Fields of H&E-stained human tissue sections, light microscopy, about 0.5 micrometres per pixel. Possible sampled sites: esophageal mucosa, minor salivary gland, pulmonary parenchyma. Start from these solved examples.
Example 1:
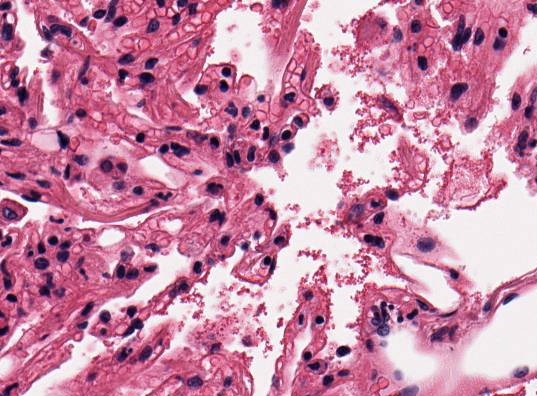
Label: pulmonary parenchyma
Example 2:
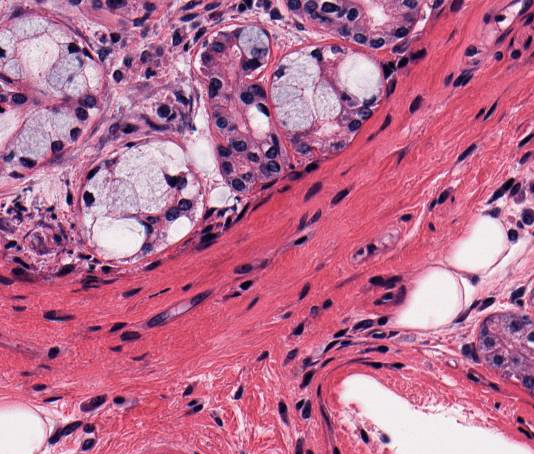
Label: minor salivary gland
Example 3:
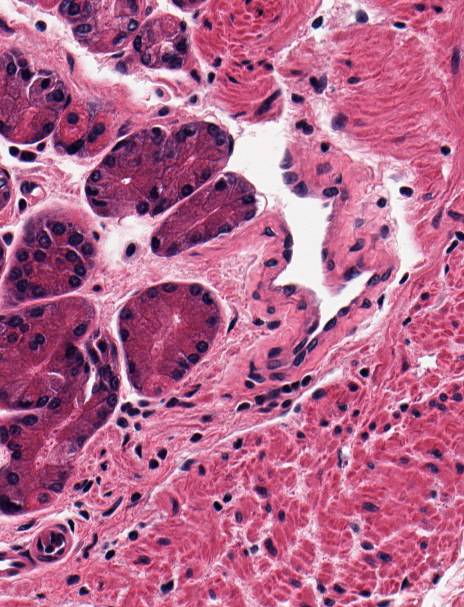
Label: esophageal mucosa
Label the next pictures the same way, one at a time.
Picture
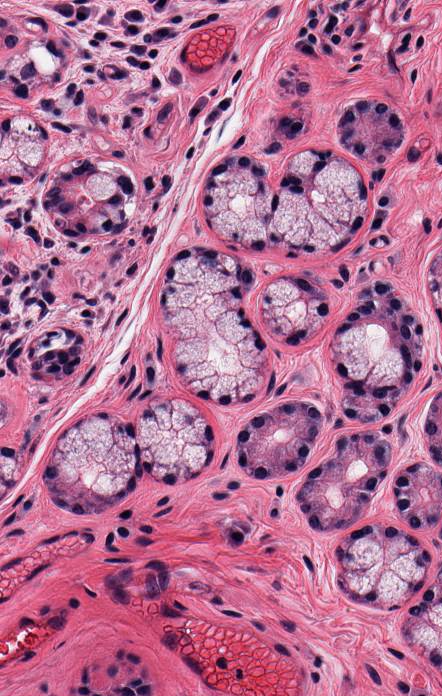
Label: minor salivary gland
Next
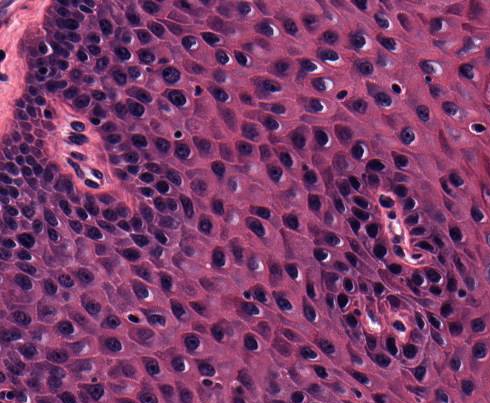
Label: esophageal mucosa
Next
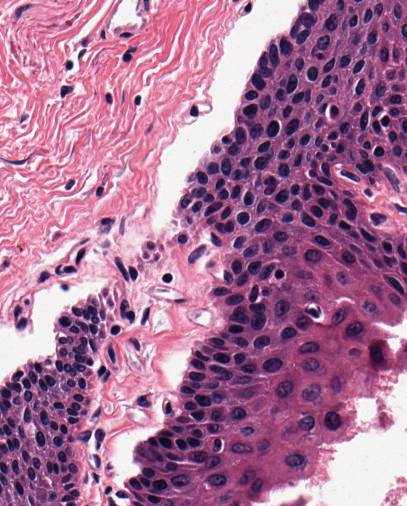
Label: esophageal mucosa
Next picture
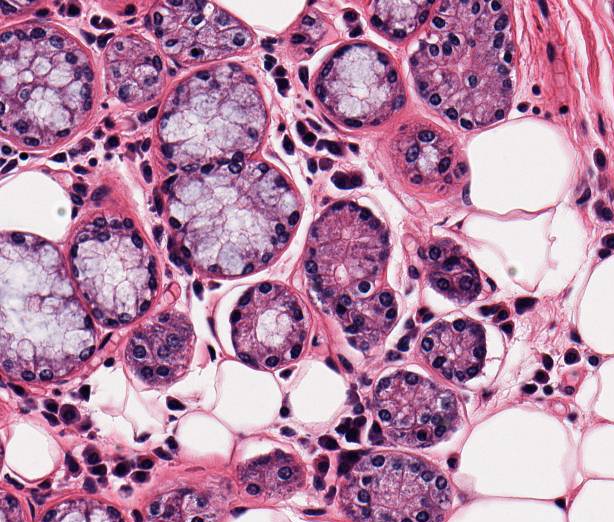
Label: minor salivary gland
